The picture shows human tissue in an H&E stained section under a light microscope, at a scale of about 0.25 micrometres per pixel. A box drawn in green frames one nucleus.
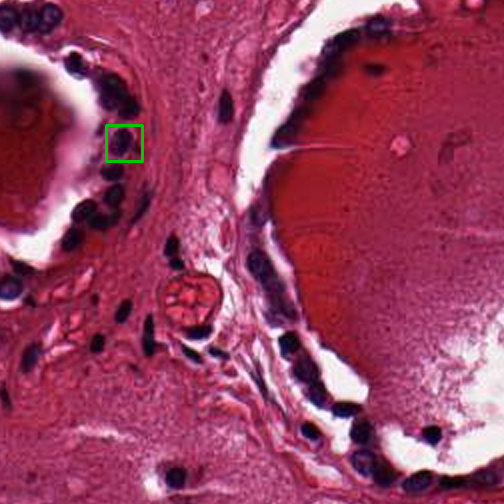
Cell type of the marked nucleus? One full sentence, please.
What the marked nucleus belongs to is a thyroid follicular cell.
